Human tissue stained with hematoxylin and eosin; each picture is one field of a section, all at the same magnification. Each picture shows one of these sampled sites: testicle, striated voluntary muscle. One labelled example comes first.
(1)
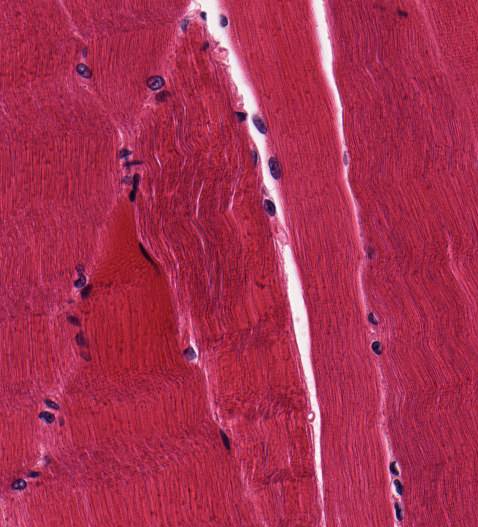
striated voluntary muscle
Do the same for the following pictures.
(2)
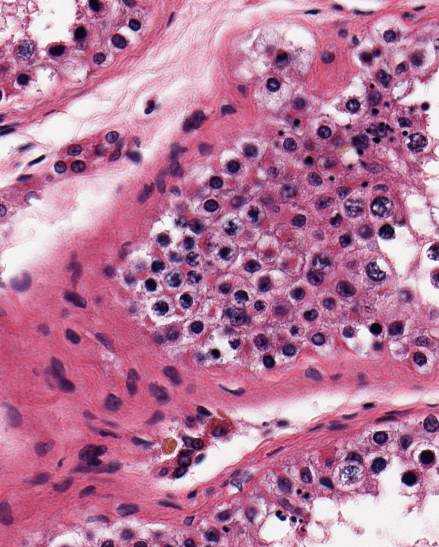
testicle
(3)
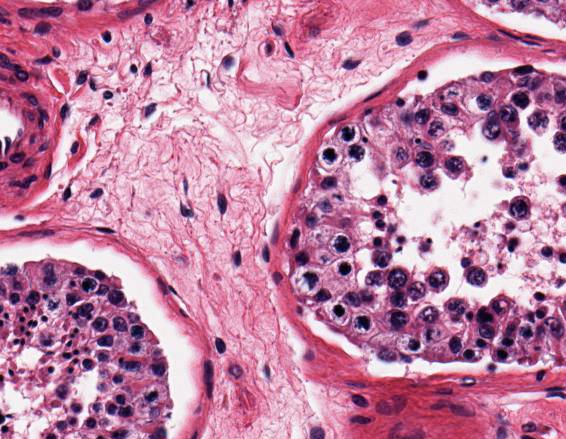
testicle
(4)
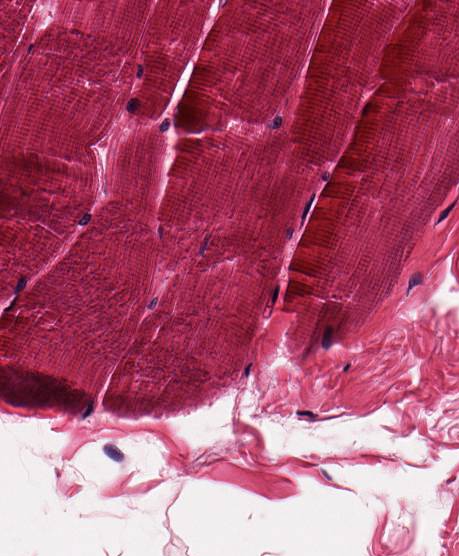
striated voluntary muscle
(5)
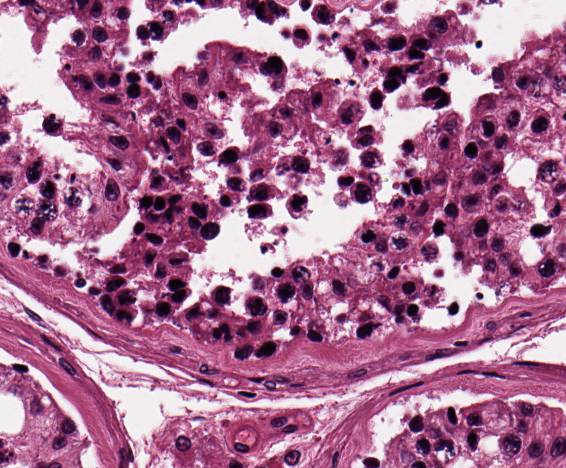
testicle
